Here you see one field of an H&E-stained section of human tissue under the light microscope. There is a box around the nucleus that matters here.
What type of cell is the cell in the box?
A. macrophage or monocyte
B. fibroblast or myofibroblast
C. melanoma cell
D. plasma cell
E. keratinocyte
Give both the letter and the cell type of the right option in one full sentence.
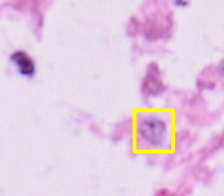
Of the options offered, A is correct, as the cell in the box is a macrophage or monocyte.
